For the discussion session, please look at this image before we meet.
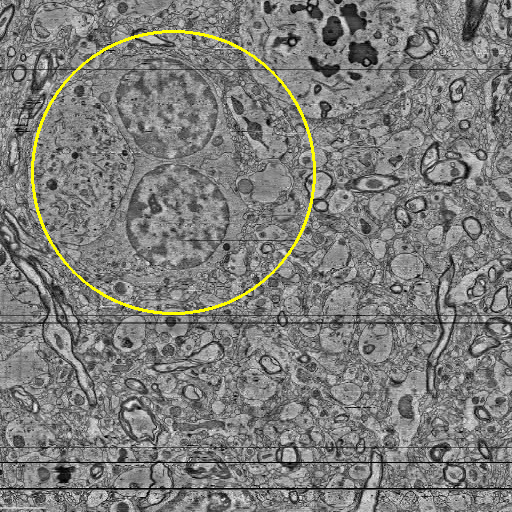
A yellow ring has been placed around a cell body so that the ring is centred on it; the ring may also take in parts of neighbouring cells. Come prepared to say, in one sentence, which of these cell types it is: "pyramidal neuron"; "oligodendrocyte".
The cell centred in the ring is an oligodendrocyte.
